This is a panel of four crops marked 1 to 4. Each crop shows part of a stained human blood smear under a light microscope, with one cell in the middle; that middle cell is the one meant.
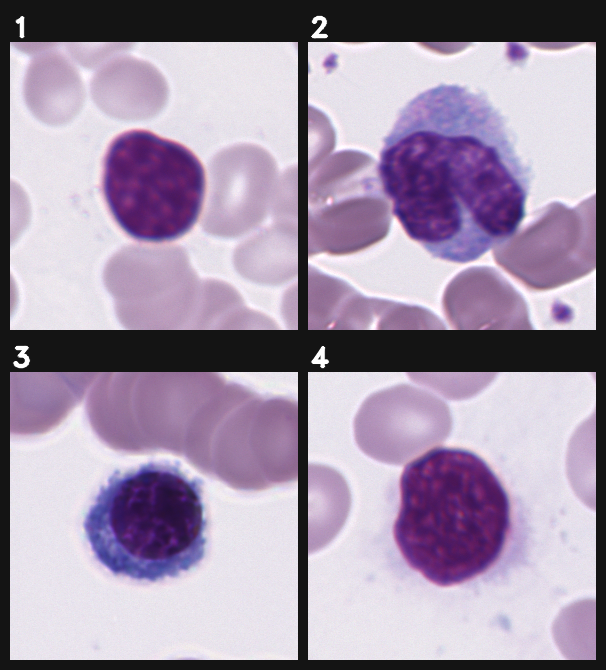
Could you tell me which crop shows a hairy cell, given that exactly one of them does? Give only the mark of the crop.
4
